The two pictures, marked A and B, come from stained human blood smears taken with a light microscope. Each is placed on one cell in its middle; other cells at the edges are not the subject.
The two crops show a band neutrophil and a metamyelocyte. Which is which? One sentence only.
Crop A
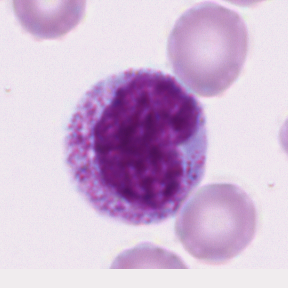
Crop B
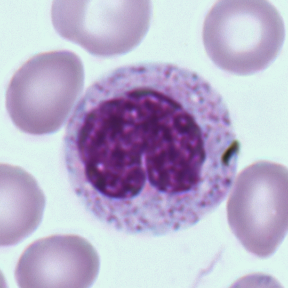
Taken crop by crop, crop A is a metamyelocyte and crop B is a band neutrophil.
